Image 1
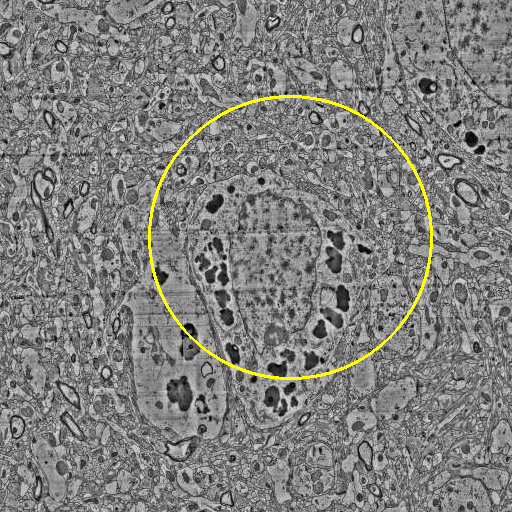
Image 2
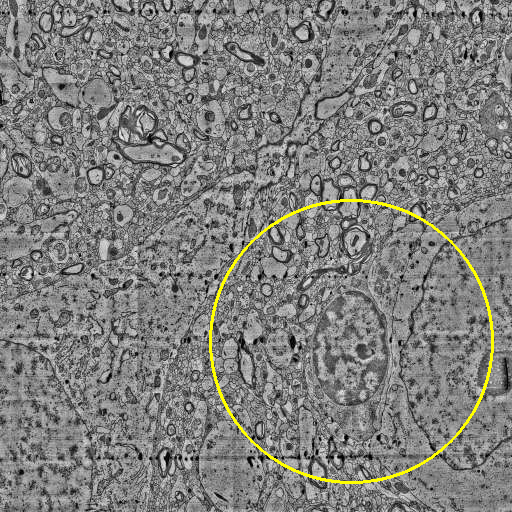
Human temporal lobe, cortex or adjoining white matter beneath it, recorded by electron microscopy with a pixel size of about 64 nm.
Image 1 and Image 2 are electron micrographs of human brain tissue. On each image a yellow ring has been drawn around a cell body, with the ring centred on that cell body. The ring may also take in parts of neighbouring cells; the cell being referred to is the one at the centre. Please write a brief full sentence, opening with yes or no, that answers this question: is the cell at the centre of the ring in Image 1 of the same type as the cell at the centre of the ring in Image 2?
No, the two cells are of two types.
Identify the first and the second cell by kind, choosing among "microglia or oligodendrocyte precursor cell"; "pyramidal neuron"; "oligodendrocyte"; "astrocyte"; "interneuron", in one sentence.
The one in the first picture is an interneuron, while the one in the second is an oligodendrocyte.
